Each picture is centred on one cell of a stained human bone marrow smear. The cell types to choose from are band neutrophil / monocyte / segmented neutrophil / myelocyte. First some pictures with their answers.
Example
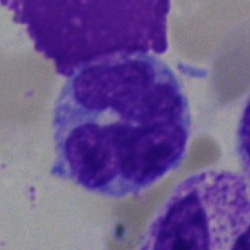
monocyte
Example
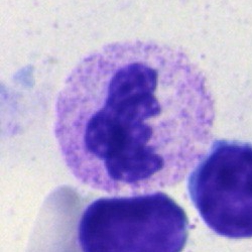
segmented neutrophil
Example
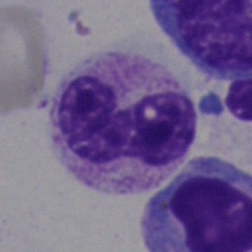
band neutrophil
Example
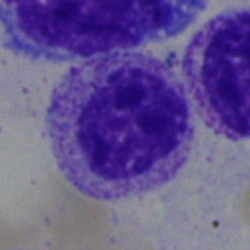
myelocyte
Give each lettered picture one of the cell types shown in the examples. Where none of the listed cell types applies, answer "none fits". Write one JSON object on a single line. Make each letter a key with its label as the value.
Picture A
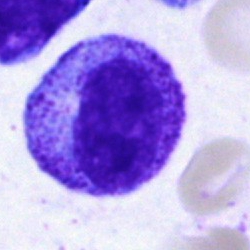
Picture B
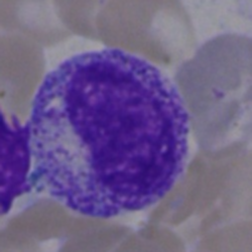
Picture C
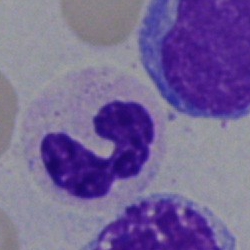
{"A": "myelocyte", "B": "myelocyte", "C": "segmented neutrophil"}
